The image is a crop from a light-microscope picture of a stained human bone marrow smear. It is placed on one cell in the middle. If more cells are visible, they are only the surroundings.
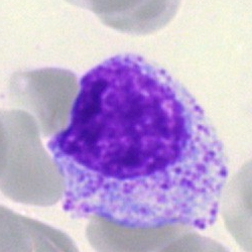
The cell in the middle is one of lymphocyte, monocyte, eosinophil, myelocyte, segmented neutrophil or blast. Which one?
myelocyte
